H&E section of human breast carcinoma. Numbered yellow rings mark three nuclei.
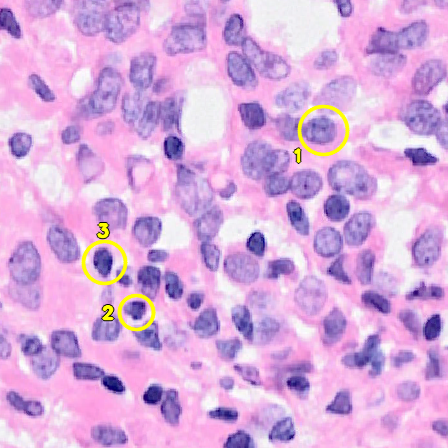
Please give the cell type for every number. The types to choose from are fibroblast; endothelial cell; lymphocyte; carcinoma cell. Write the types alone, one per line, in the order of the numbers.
carcinoma cell
lymphocyte
lymphocyte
